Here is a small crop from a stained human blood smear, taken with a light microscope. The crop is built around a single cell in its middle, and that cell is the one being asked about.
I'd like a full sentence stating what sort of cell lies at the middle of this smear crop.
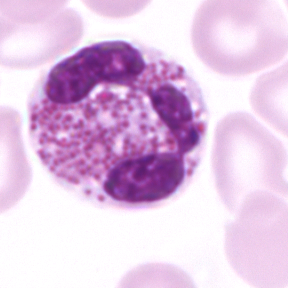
This particular crop is centered on an eosinophil.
